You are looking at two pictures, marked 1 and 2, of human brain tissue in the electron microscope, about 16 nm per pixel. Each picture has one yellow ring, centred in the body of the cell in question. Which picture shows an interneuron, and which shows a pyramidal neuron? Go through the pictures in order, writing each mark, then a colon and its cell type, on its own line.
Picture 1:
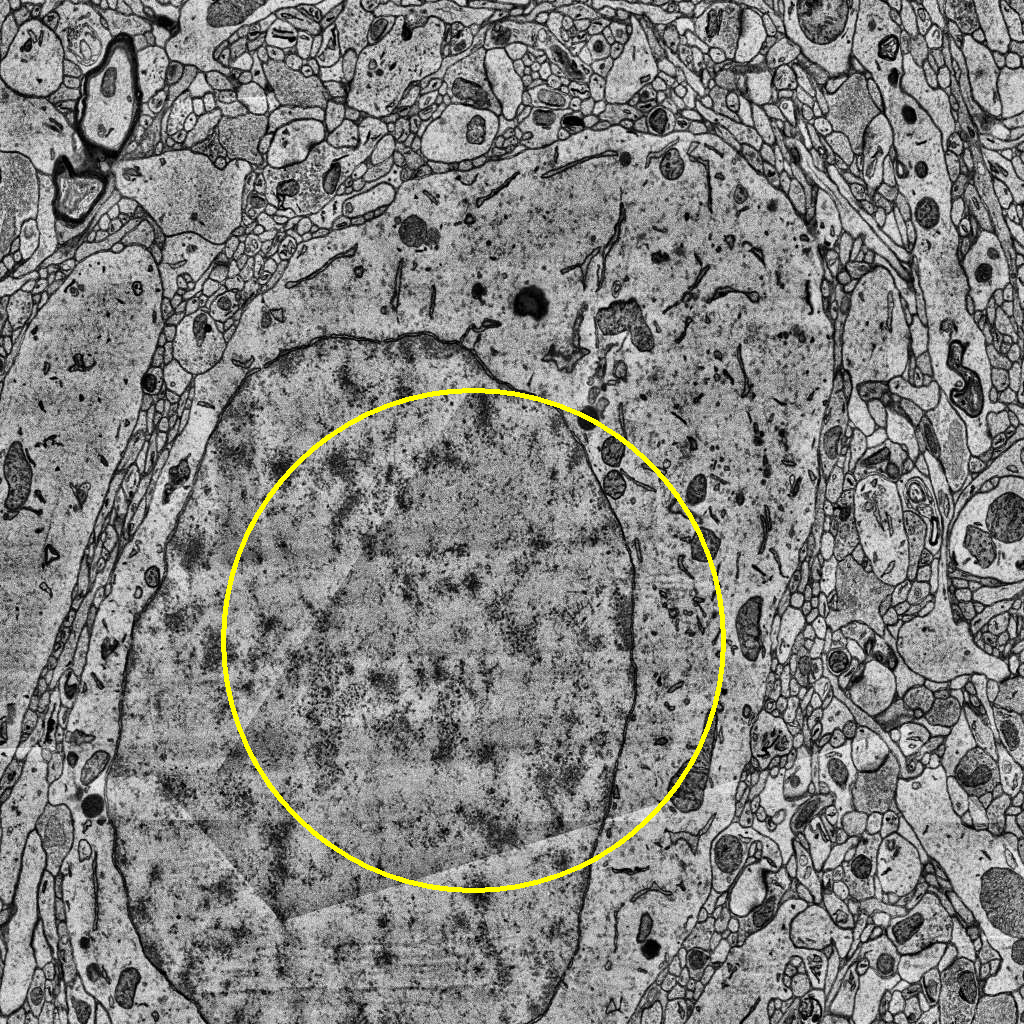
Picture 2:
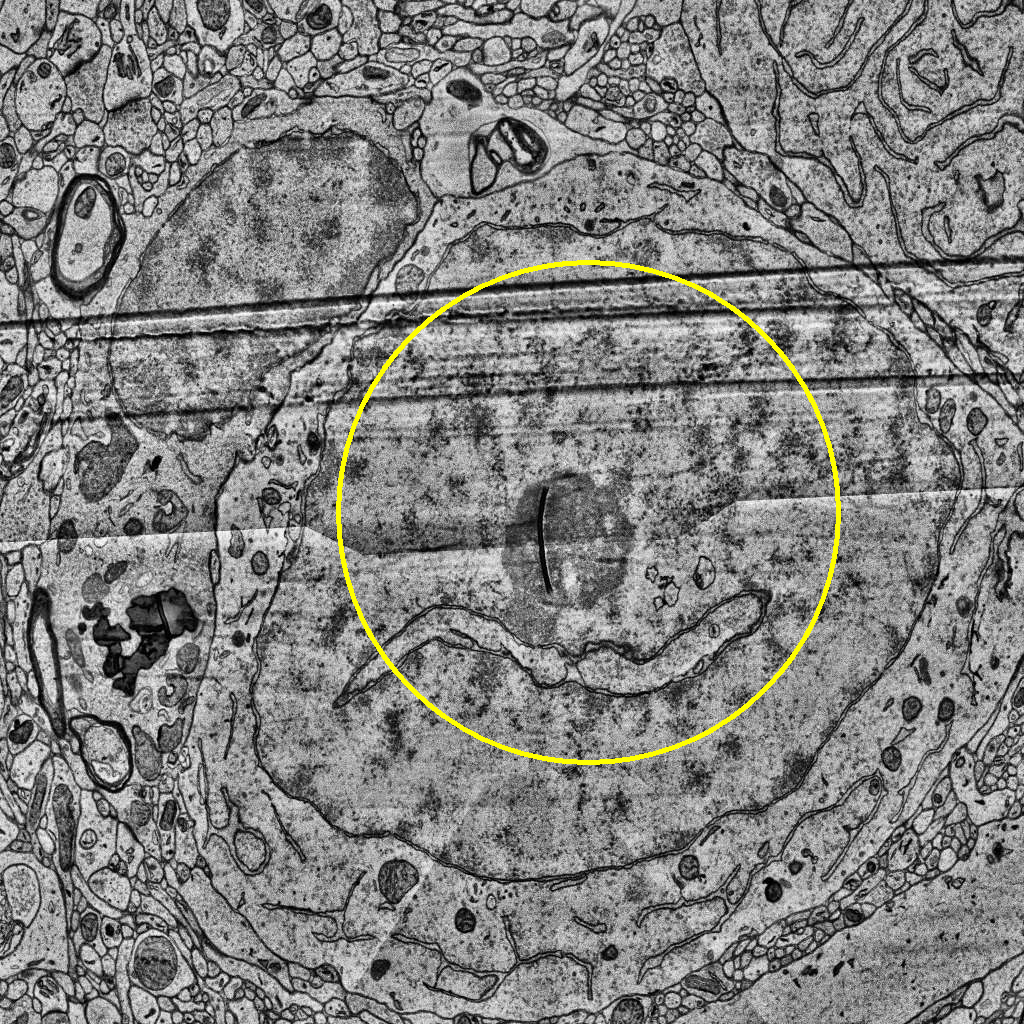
1: pyramidal neuron
2: interneuron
